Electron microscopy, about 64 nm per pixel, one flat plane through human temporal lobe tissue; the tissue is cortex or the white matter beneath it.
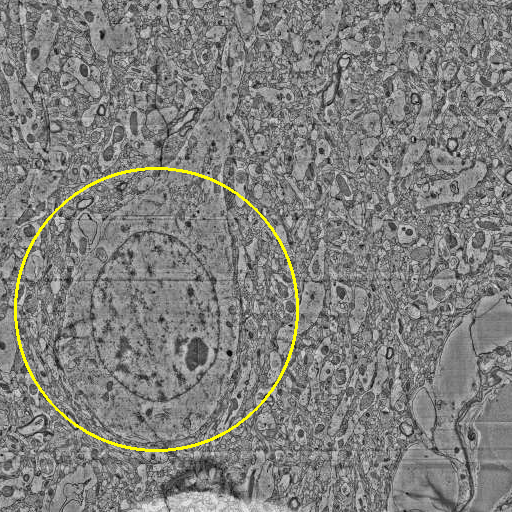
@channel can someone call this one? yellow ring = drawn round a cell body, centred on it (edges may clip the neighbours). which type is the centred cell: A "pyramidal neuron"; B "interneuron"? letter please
A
